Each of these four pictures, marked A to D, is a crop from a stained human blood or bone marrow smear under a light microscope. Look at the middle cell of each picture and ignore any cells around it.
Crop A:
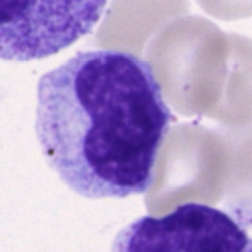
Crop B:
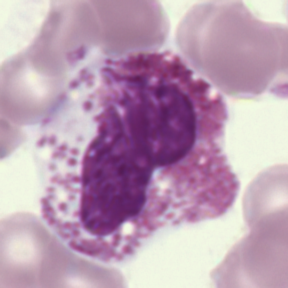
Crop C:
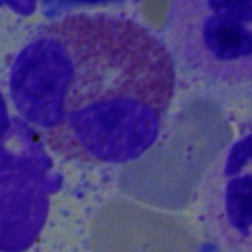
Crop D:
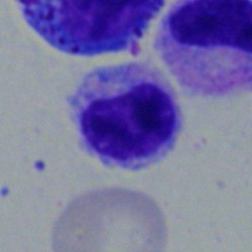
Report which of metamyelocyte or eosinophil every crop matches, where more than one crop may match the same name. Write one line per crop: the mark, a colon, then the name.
A: metamyelocyte
B: eosinophil
C: eosinophil
D: metamyelocyte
